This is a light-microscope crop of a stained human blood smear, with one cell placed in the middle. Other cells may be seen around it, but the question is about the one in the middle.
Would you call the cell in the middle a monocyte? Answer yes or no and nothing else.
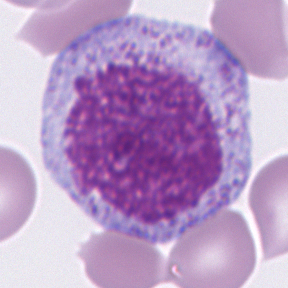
no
